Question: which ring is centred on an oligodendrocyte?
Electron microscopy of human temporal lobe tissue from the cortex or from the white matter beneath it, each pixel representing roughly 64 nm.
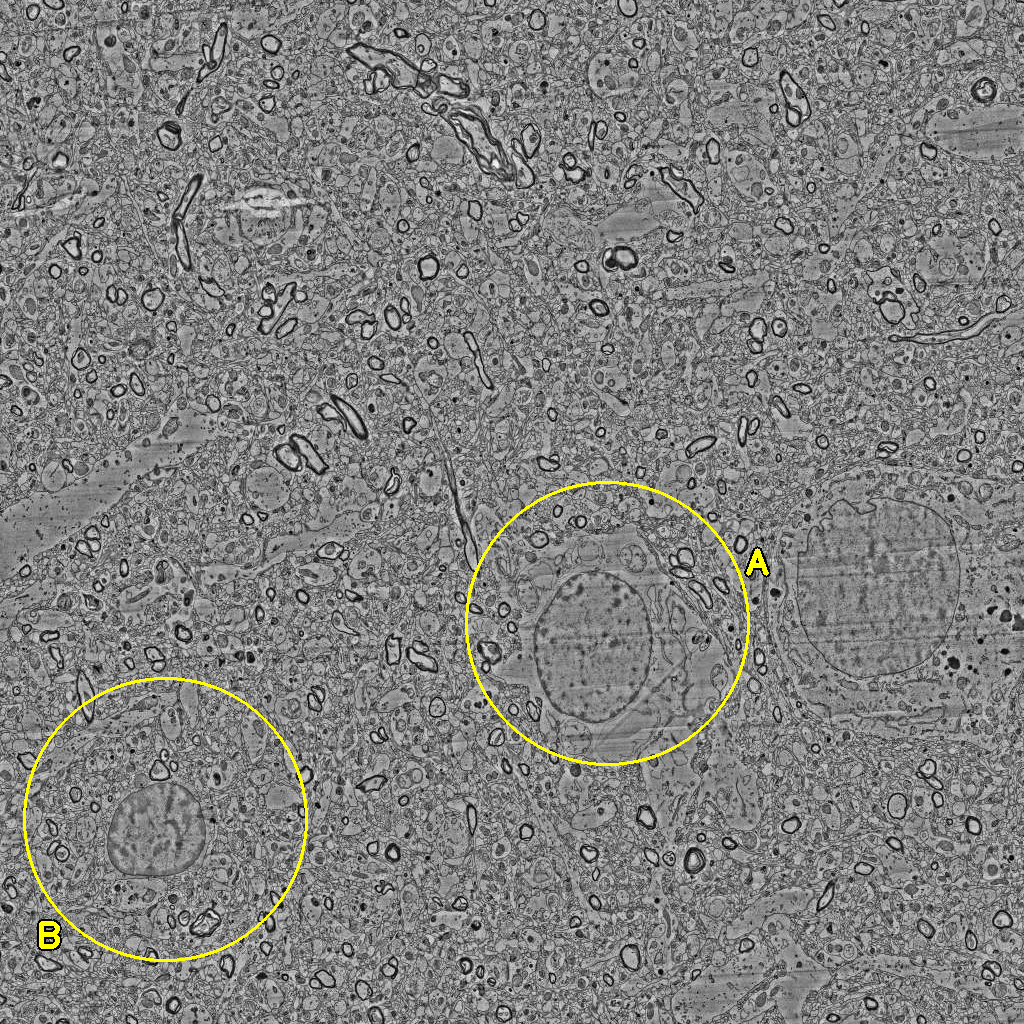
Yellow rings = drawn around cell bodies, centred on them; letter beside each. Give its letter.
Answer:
B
